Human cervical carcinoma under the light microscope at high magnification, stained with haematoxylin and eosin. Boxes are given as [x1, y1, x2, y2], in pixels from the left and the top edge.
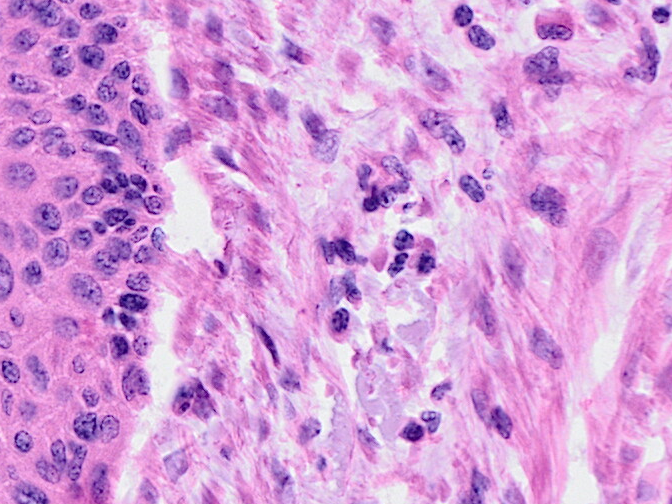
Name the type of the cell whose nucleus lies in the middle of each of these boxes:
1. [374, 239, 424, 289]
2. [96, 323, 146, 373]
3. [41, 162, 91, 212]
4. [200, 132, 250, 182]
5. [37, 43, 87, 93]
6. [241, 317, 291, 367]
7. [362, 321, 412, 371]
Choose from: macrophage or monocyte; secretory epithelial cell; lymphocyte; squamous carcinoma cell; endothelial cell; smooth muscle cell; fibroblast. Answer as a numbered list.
1. lymphocyte
2. squamous carcinoma cell
3. squamous carcinoma cell
4. fibroblast
5. squamous carcinoma cell
6. fibroblast
7. fibroblast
